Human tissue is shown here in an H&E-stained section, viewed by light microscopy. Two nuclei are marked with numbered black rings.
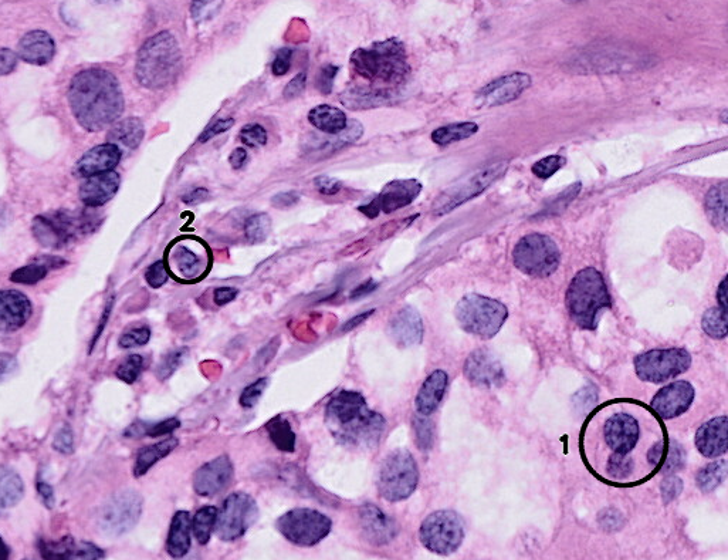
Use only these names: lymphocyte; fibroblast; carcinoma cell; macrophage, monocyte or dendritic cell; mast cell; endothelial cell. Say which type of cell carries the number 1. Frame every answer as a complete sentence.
The cell that goes by number 1 is a carcinoma cell.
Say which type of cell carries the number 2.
Cell 2 of the marked set is an endothelial cell.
